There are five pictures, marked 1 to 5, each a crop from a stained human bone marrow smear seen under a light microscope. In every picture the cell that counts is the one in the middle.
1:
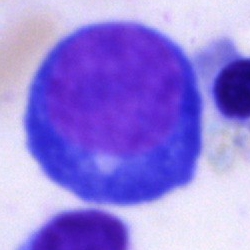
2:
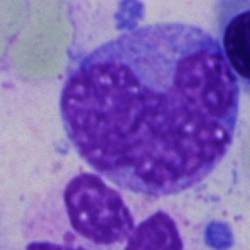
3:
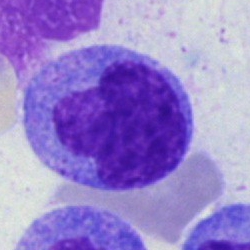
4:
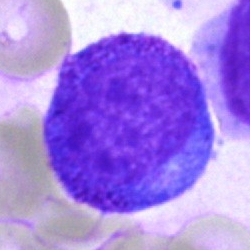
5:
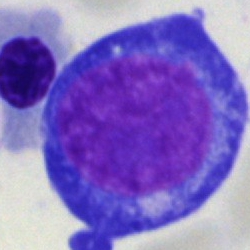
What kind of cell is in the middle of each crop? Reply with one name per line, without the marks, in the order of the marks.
proerythroblast
monocyte
monocyte
promyelocyte
proerythroblast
